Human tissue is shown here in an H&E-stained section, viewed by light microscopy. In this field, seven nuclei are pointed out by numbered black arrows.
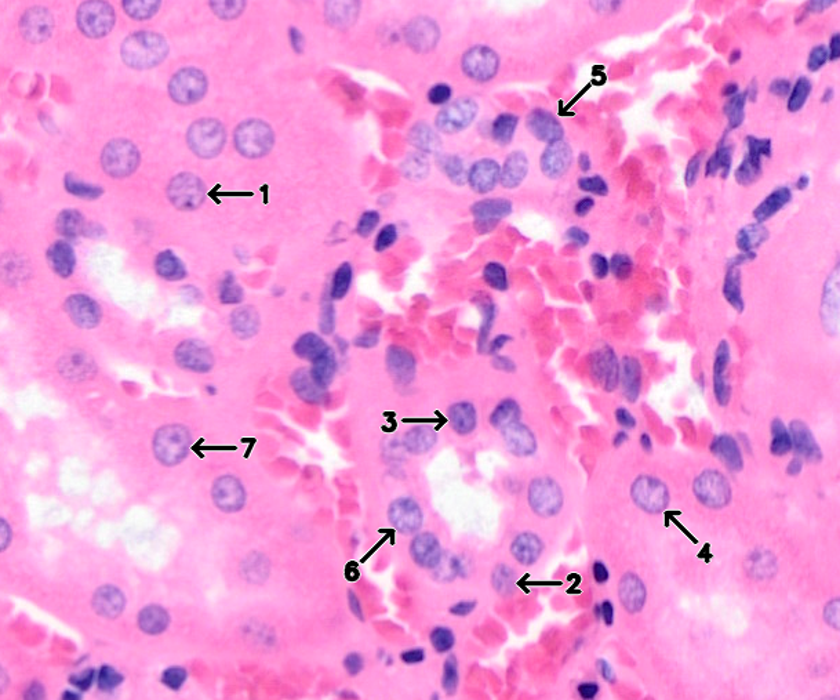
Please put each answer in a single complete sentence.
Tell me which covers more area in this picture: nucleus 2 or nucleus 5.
The larger nucleus is 5, at roughly 1.5 times the area of 2.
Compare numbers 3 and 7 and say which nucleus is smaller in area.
With nucleus 7 about 2 times its size, nucleus 3 is the smaller of the two.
